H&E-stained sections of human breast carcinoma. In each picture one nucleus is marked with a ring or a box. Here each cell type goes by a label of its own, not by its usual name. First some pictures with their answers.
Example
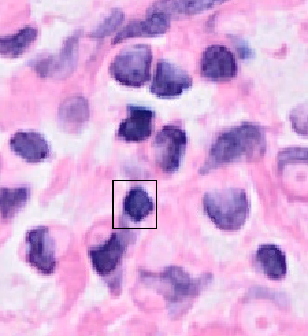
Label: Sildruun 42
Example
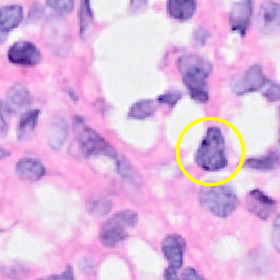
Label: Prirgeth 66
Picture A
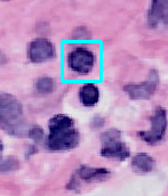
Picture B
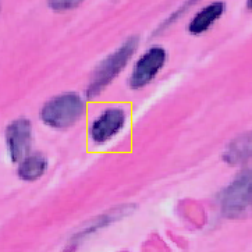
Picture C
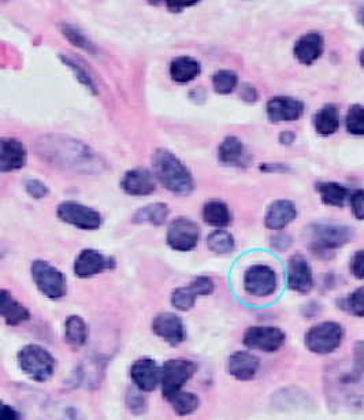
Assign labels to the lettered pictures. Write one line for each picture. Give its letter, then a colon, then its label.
A: Sildruun 42
B: Sildruun 42
C: Sildruun 42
